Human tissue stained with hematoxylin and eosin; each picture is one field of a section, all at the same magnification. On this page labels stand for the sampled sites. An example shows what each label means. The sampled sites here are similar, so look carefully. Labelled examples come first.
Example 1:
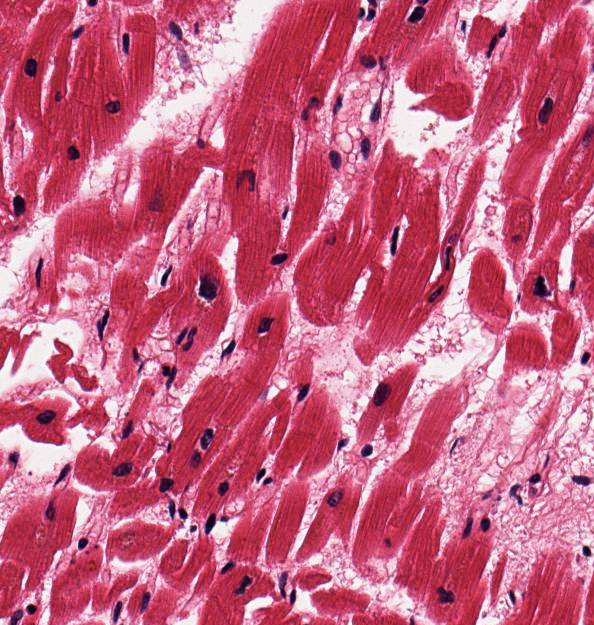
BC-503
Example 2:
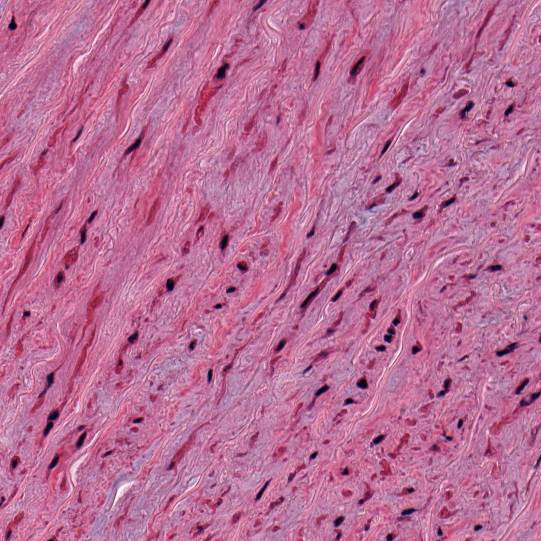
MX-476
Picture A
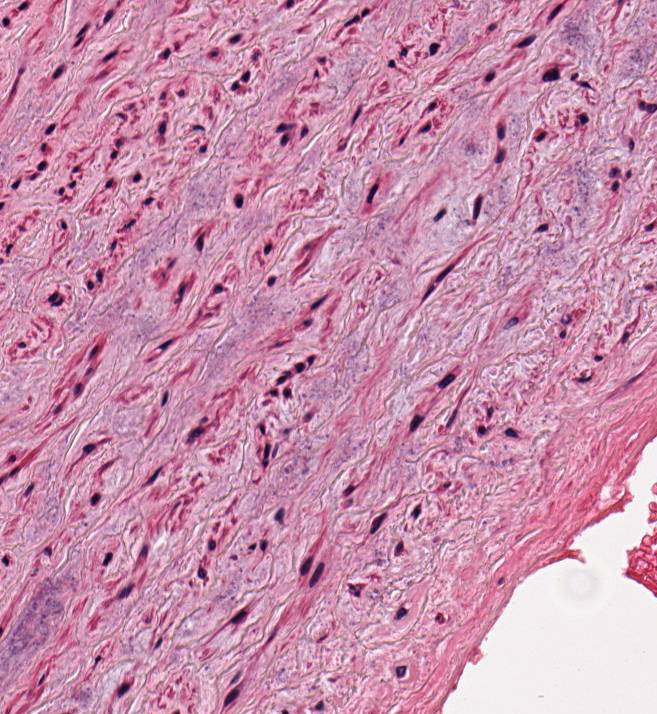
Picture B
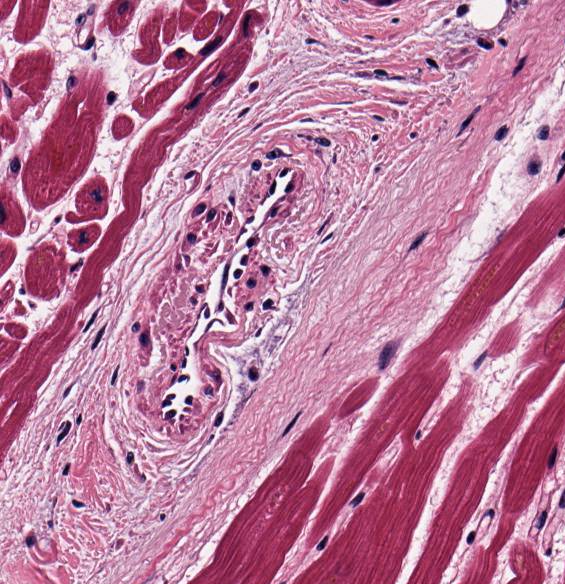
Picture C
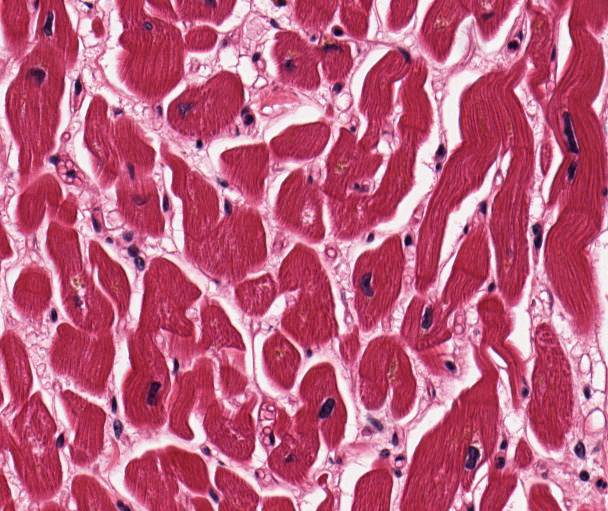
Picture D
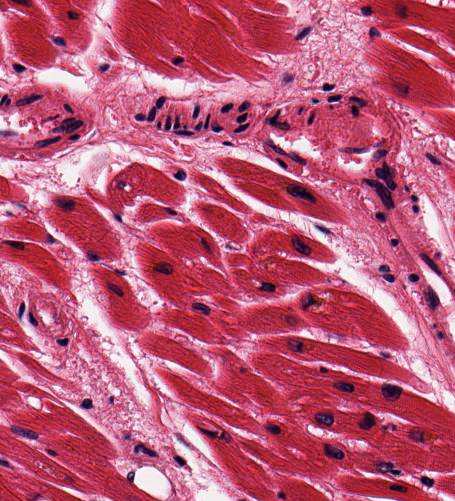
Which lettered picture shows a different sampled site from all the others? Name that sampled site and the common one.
Exception: A, showing MX-476. Remaining pictures: BC-503.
